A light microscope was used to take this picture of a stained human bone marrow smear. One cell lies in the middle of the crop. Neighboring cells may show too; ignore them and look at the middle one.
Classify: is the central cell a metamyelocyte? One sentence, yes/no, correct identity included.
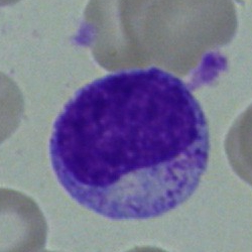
Yes, in the middle of the crop is a metamyelocyte.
